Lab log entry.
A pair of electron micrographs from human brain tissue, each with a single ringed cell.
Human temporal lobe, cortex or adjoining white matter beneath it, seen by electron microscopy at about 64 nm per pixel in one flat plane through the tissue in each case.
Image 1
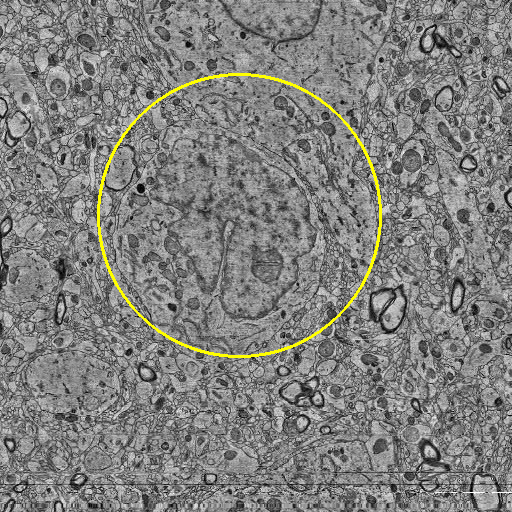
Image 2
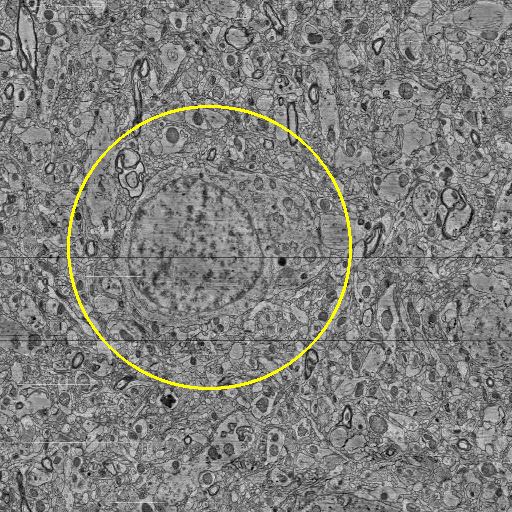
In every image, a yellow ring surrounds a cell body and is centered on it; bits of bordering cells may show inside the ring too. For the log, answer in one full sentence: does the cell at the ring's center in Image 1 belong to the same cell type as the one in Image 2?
Yes, the cells at the ring centers in Image 1 and Image 2 share one type.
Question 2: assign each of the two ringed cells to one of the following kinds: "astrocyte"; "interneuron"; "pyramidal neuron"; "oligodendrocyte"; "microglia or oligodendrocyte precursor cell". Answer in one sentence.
In each of the two pictures, the ringed cell is an interneuron.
